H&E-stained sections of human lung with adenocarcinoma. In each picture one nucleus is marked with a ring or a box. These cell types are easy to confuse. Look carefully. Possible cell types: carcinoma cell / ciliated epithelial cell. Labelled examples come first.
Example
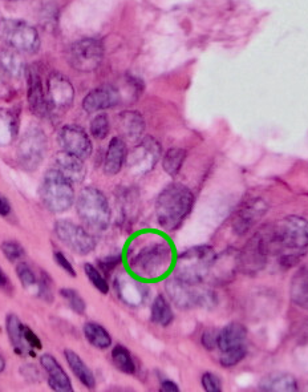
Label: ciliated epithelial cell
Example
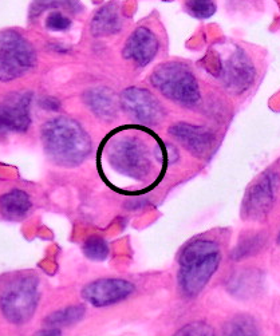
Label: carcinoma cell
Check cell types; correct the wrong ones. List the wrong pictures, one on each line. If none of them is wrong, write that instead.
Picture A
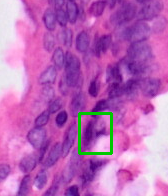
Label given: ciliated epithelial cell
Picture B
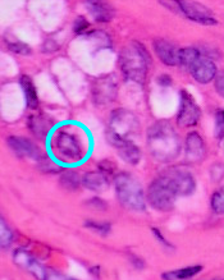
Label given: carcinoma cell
B: ciliated epithelial cell, not carcinoma cell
